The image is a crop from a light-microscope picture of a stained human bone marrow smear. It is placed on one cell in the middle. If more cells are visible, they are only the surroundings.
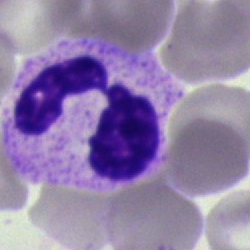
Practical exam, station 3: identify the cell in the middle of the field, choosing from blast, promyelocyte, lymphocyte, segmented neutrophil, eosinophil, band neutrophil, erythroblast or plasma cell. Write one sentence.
The cell shown in the center of this light-microscope crop is a segmented neutrophil.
